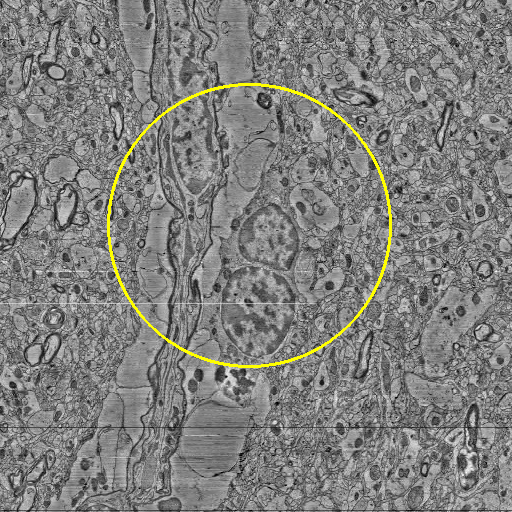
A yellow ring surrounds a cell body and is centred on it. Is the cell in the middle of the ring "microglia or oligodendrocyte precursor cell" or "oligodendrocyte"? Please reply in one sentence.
The ring is centred on an oligodendrocyte.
